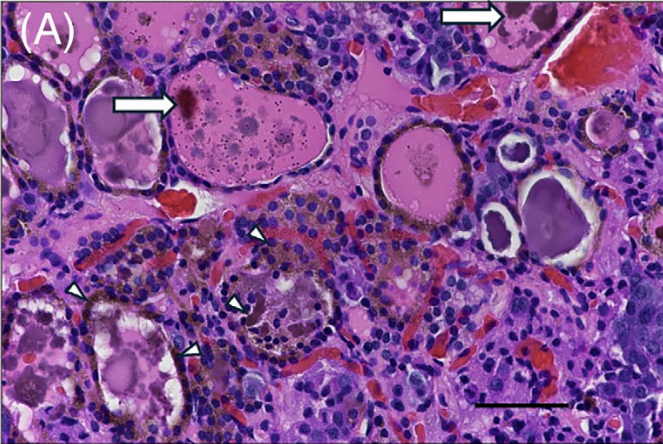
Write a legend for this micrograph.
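This is thyroid tissue, with round follicles of varying size lined by a single layer of cuboidal follicular epithelial cells with round dark nuclei. The follicles are filled with pink to purple colloid, some of which is retracted from the lining. Within the colloid lie irregular dark brown globules, clearly darker than the colloid around them. The cytoplasm of many lining cells holds fine pinpoint brown granules, giving the epithelium a speckled brown look. Between the follicles run thin capillaries packed with bright red blood cells.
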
